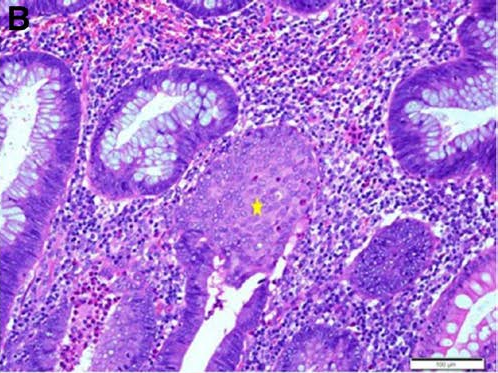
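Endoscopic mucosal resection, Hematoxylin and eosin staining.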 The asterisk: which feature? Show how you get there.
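The asterisk sits on a rounded solid nest of cells with pink cytoplasm and no lumen. The nest lies among glands lined by tall columnar cells with elongated dark nuclei. On this evidence: squamoid morules.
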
